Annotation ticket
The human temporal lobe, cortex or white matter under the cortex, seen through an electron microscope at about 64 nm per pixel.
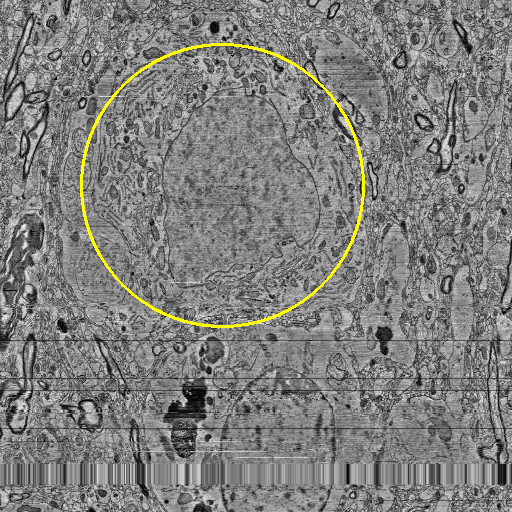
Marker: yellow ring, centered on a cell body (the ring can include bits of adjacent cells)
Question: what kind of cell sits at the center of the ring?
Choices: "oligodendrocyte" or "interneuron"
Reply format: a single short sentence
The ring is centered on an interneuron.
